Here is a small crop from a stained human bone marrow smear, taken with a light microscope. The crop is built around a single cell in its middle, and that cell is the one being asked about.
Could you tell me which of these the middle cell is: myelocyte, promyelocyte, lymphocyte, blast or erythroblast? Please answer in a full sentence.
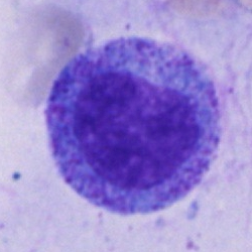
At the crop's centre, the cell is a promyelocyte.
